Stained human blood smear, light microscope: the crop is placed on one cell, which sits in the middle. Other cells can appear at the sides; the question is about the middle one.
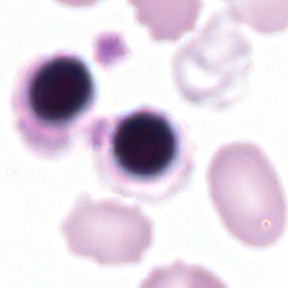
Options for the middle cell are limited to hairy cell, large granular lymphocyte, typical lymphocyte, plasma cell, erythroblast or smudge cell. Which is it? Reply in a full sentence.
The central element of this crop is a cell, namely an erythroblast.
